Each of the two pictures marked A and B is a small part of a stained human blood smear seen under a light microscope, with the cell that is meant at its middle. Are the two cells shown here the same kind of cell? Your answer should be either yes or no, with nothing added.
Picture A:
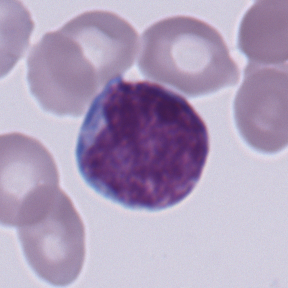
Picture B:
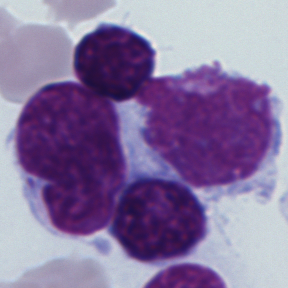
yes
